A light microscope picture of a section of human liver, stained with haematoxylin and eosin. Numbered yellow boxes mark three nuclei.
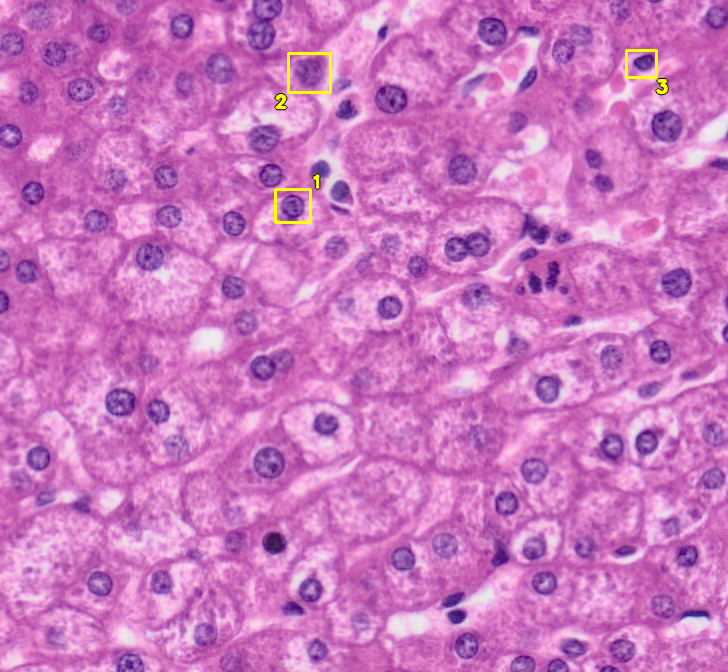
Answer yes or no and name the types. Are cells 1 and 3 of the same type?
No, cell 1 is a hepatocyte, while cell 3 is a Kupffer cell.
